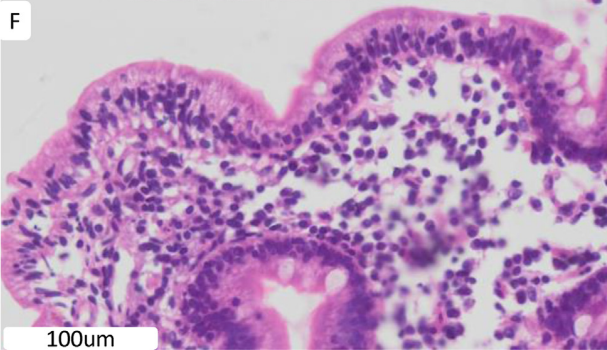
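This is a close view of small intestinal surface epithelium over a villous core of lamina propria. Numerous small, round, dark-staining lymphocyte nuclei are crowded within the epithelial layer between the elongated columnar cell nuclei, and a few pale goblet cells are seen. The underlying lamina propria holds many scattered round nuclei, and a crypt lies at the bottom.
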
